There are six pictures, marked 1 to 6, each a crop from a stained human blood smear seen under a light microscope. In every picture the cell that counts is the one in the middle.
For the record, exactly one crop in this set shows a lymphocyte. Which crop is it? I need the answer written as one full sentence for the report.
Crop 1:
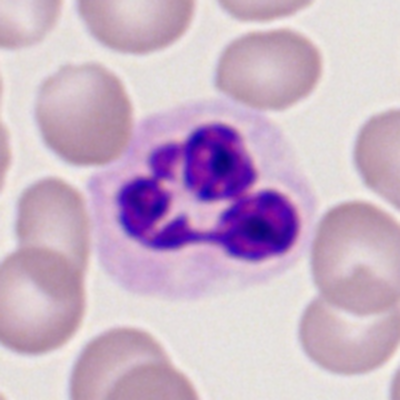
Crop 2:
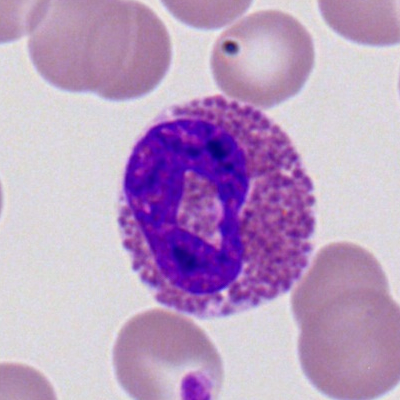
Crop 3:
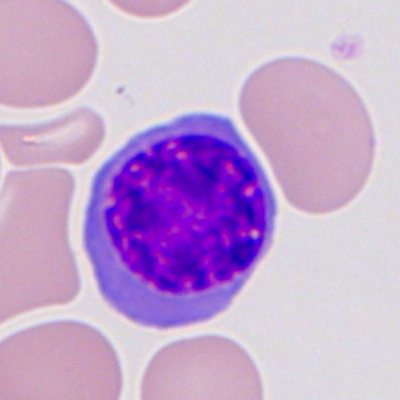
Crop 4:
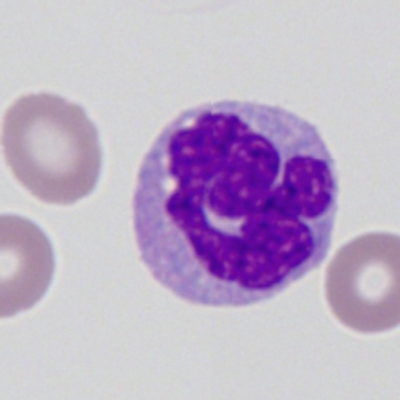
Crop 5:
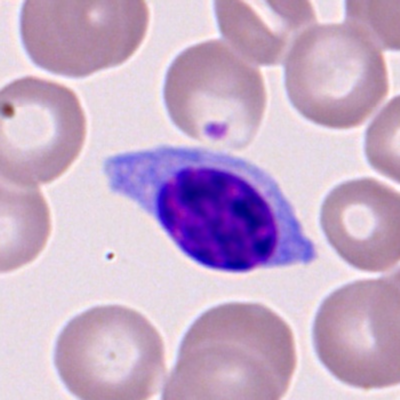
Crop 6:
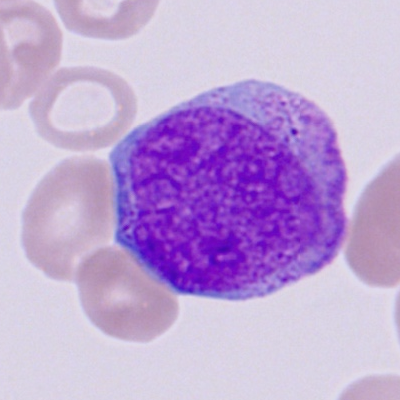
The cell identified as a lymphocyte is the one in crop 5.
